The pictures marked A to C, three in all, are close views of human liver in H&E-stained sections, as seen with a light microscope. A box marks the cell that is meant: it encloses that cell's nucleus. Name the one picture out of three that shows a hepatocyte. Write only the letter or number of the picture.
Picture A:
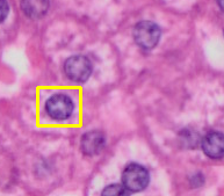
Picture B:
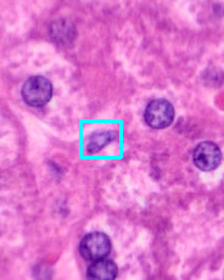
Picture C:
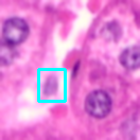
A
